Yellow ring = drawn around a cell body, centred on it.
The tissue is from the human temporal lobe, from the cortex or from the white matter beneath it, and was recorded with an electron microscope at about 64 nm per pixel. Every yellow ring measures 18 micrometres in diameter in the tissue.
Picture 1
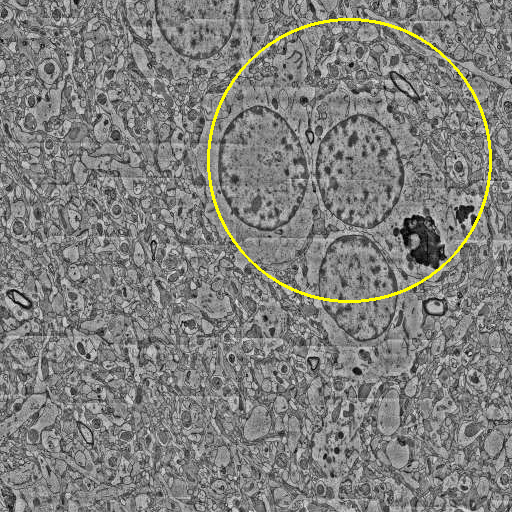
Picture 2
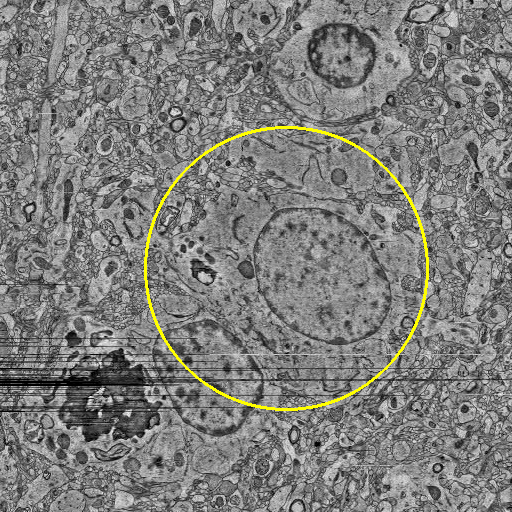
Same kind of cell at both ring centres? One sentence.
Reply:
Yes, they are the same kind of cell.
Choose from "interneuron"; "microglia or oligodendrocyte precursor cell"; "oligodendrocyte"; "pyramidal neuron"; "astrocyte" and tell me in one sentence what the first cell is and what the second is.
Each of the two cells is an astrocyte.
